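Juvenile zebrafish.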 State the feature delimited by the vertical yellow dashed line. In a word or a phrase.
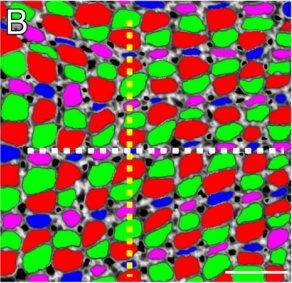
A: Cone columns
